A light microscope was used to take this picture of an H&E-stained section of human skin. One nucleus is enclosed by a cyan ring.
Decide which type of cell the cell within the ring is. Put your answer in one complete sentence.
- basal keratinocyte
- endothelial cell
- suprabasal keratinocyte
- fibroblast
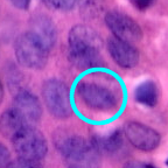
The cell meant here is a basal keratinocyte.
